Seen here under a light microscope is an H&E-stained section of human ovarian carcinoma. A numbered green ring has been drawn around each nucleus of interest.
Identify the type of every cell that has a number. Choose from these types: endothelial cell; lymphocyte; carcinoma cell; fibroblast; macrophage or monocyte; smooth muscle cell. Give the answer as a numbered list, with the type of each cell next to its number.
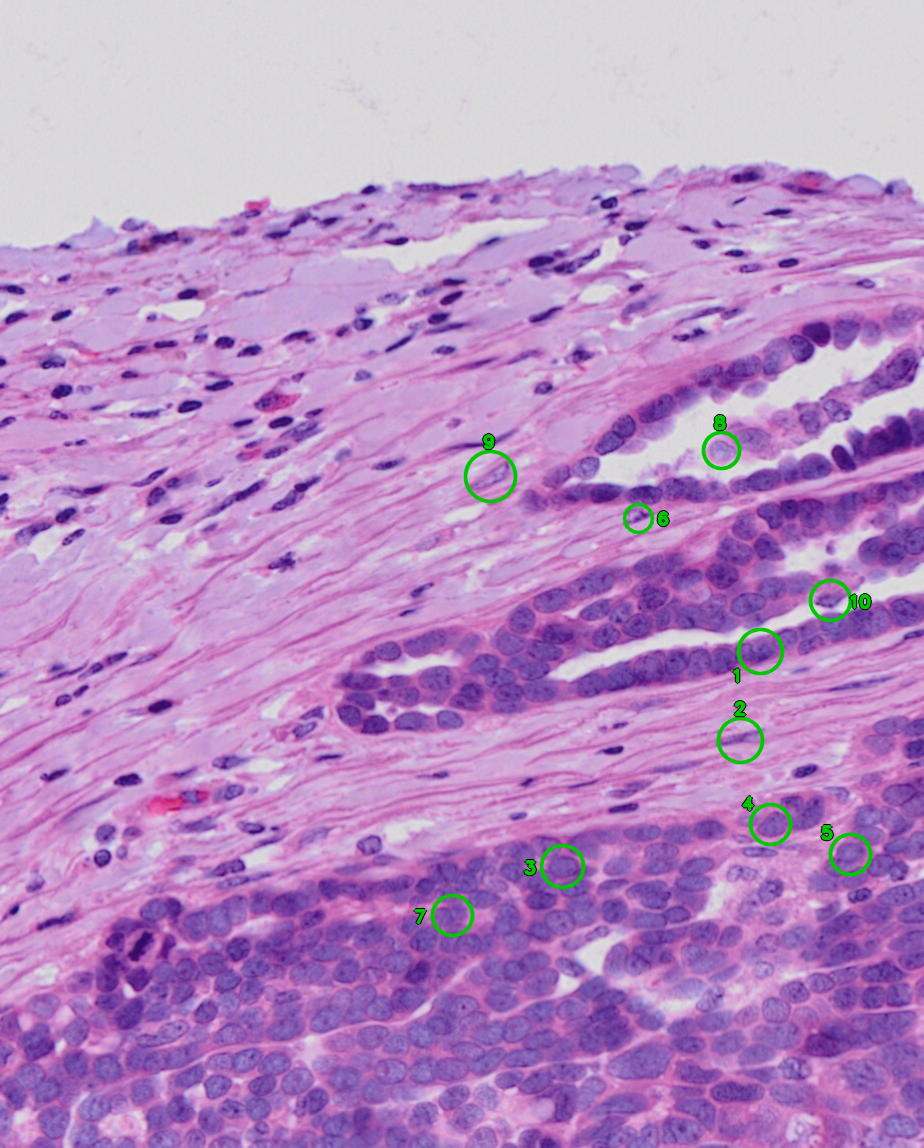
1. carcinoma cell
2. fibroblast
3. carcinoma cell
4. carcinoma cell
5. carcinoma cell
6. fibroblast
7. carcinoma cell
8. carcinoma cell
9. fibroblast
10. macrophage or monocyte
